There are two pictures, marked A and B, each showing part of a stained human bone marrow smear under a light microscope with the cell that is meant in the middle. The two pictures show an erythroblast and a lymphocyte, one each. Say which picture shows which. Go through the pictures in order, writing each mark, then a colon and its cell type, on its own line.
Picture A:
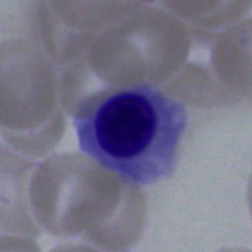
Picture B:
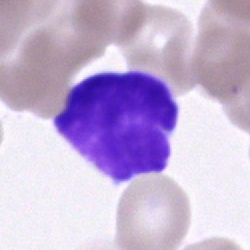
A: erythroblast
B: lymphocyte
